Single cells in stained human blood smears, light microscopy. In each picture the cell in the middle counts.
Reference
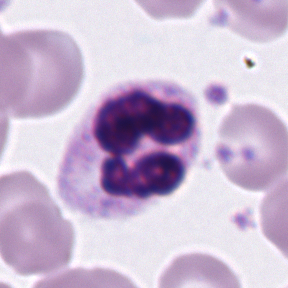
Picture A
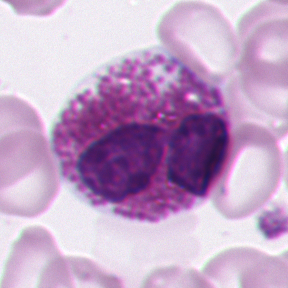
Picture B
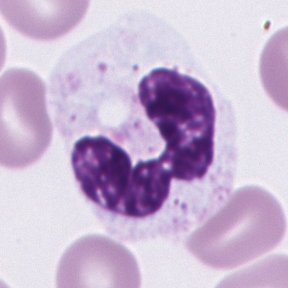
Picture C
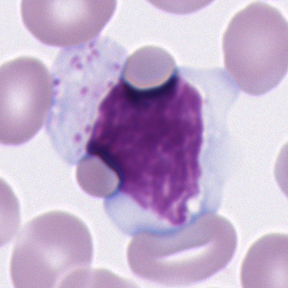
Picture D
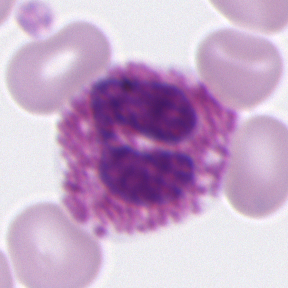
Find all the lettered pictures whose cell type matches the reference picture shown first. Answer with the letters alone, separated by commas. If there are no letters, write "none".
B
